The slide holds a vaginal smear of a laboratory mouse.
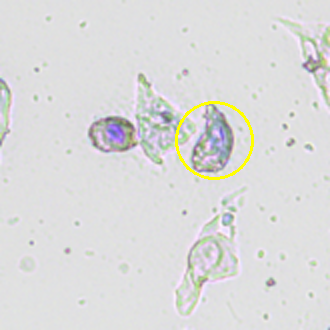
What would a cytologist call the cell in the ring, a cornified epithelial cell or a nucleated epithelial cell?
A cytologist would call it a nucleated epithelial cell.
